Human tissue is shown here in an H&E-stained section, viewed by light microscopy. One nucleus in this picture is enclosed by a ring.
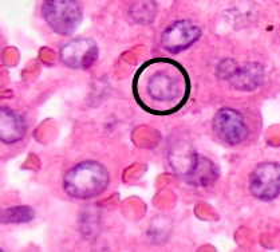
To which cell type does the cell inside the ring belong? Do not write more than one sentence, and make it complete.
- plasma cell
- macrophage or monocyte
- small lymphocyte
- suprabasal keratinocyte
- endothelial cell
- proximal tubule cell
In this tissue section, the cell inside the ring is to be classed as a macrophage or monocyte.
